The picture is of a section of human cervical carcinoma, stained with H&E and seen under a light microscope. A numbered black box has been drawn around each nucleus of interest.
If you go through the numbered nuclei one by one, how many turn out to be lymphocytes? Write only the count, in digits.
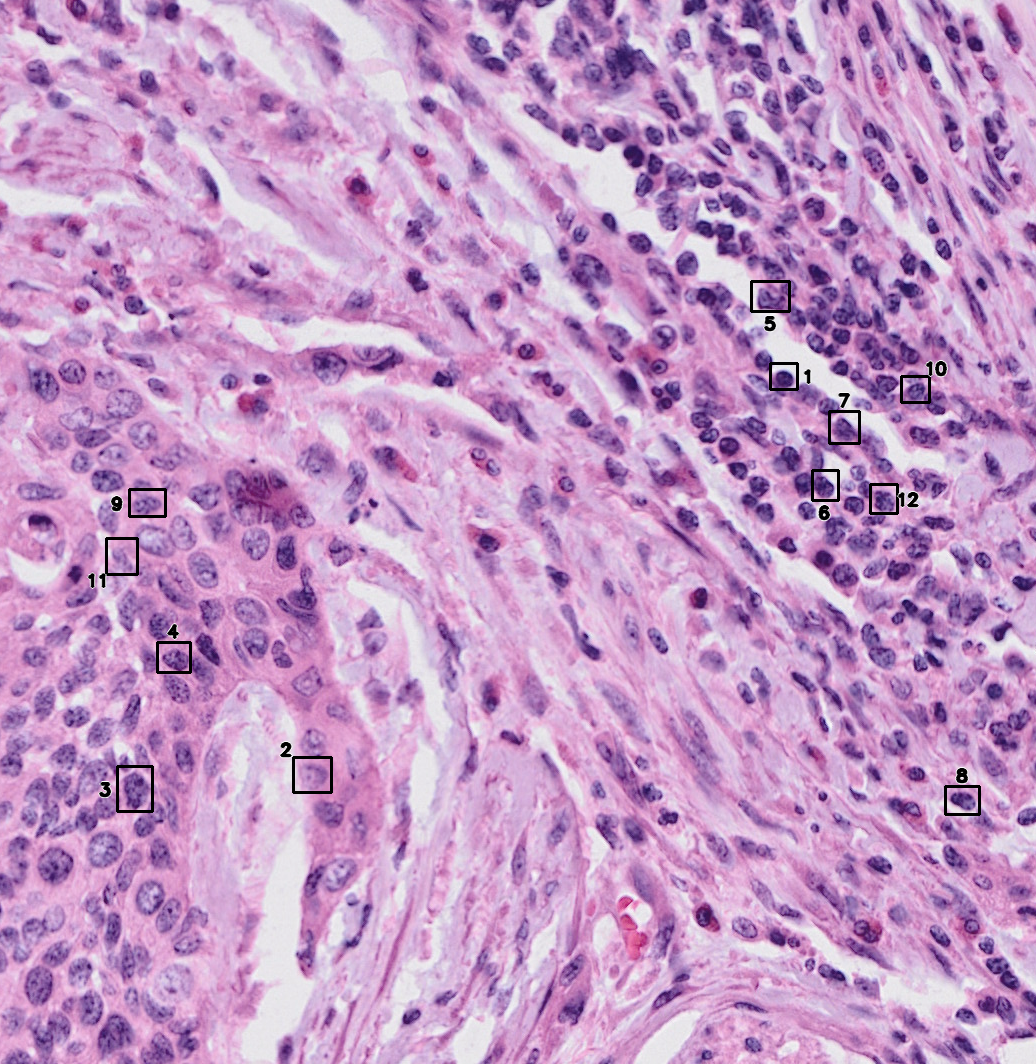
7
